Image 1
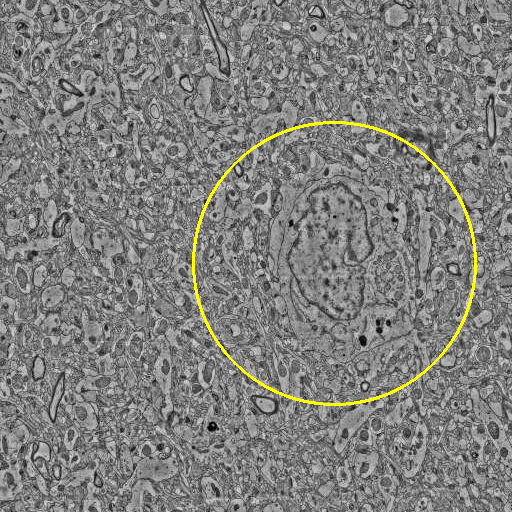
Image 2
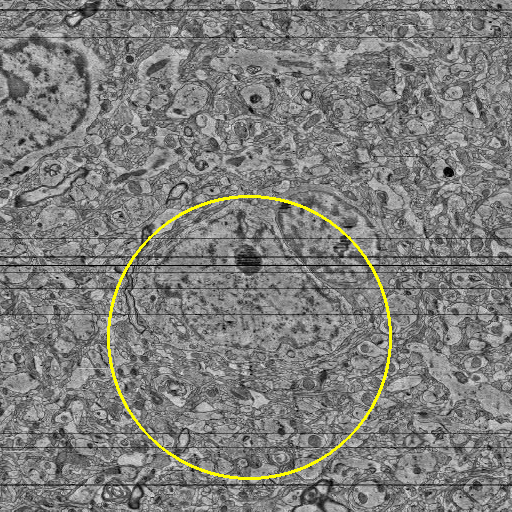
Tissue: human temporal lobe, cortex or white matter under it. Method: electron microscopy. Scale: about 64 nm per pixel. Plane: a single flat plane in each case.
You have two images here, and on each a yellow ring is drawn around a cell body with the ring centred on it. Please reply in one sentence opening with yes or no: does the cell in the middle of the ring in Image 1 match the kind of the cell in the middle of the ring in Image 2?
Yes, the two images show cells of one kind at the centres of their rings.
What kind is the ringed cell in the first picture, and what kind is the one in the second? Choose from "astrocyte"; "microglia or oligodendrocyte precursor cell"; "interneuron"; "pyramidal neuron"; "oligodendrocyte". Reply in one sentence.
Both pictures show an interneuron at the centre of the ring.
